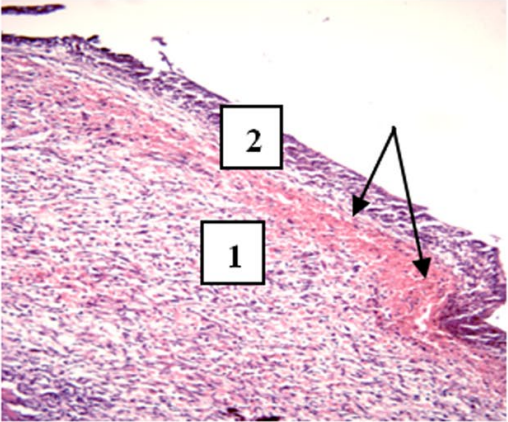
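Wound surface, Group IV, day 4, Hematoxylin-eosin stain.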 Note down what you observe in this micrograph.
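The deeper tissue is densely cellular, with many small dark purple nuclei in a pinkish stroma. At the outer edge runs a thin band with crowded purple nuclei. Between this band and the granulation tissue lies a bright red-pink zone of packed erythrocytes.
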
